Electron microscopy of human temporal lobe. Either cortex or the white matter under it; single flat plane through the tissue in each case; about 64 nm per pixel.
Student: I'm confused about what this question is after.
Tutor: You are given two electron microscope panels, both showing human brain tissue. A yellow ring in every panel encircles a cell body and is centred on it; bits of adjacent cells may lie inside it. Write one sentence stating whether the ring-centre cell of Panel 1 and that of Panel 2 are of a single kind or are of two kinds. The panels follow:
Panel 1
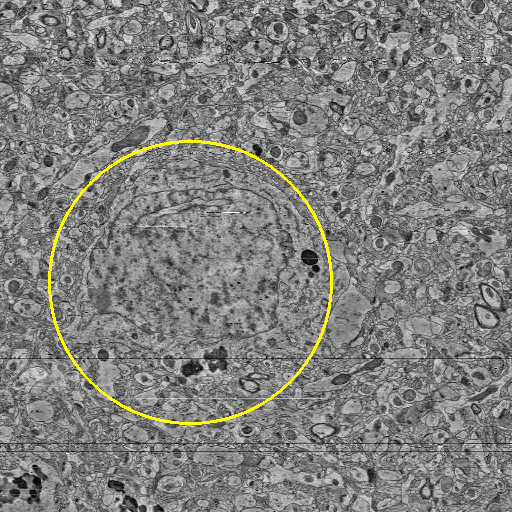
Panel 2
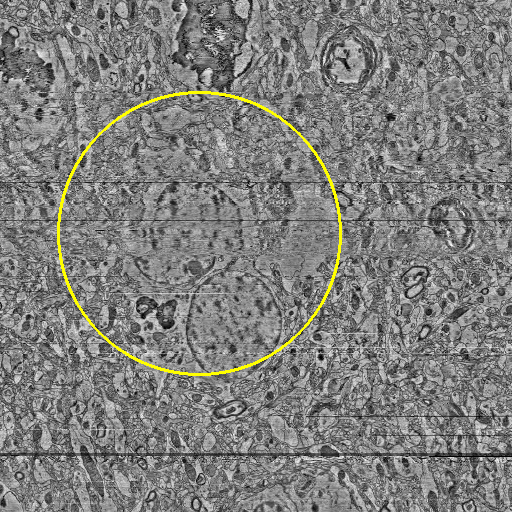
Here, the Panel 1 ring-centre cell and the Panel 2 ring-centre cell are of two kinds.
